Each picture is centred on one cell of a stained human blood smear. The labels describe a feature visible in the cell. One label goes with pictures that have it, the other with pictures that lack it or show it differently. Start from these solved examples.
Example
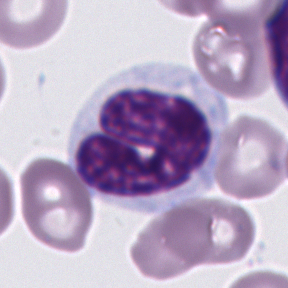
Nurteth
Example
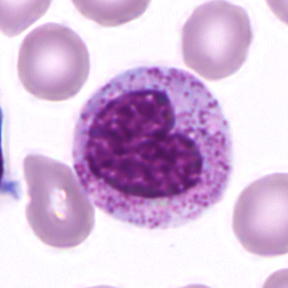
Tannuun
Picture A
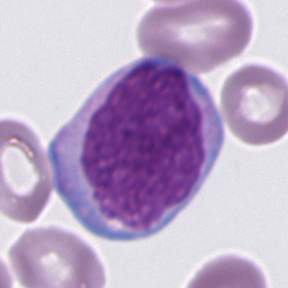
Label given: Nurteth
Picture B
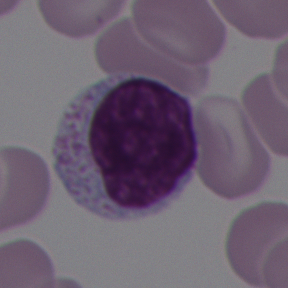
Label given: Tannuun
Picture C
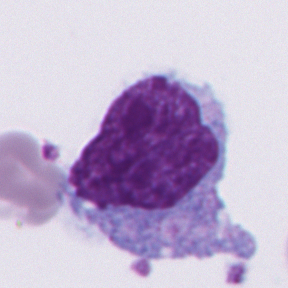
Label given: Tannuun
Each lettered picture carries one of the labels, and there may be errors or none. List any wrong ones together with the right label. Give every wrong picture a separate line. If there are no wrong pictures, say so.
All correct.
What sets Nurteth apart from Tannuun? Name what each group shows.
Nurteth, no visible granules; Tannuun, many visible granules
